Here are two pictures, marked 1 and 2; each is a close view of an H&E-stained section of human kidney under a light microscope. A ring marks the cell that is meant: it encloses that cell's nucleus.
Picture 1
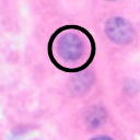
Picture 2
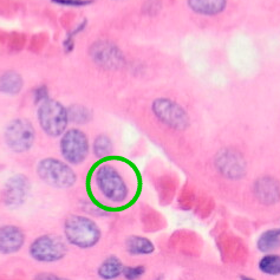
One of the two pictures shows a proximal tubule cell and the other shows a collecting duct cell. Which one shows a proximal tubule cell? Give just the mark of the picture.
1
